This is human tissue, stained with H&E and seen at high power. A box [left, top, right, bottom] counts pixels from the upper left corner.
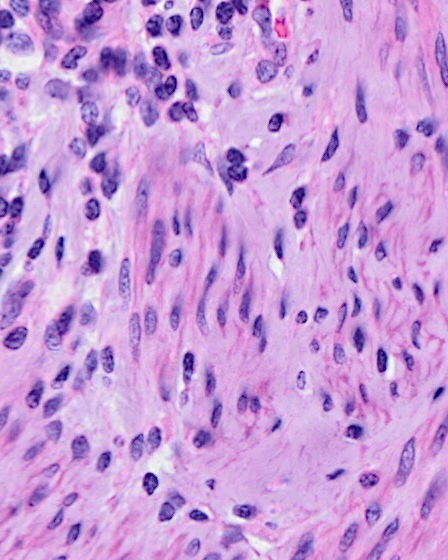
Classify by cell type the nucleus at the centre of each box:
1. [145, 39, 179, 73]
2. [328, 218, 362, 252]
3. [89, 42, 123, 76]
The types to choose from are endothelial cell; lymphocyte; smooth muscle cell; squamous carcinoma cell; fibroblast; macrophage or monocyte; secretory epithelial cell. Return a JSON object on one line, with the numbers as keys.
{"1": "lymphocyte", "2": "smooth muscle cell", "3": "lymphocyte"}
